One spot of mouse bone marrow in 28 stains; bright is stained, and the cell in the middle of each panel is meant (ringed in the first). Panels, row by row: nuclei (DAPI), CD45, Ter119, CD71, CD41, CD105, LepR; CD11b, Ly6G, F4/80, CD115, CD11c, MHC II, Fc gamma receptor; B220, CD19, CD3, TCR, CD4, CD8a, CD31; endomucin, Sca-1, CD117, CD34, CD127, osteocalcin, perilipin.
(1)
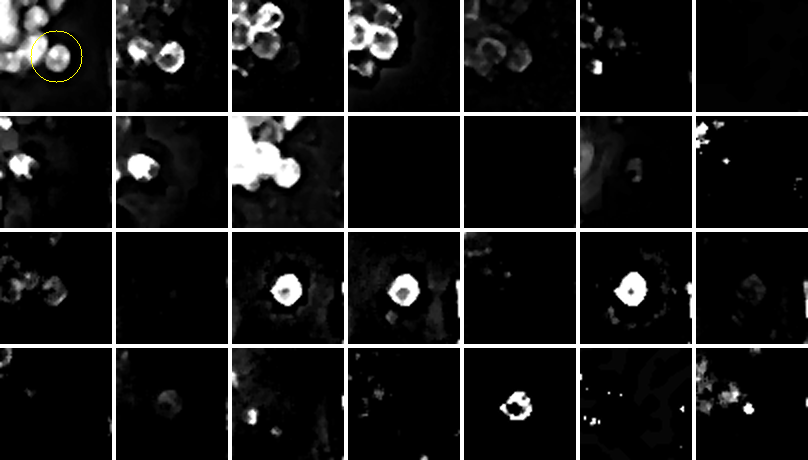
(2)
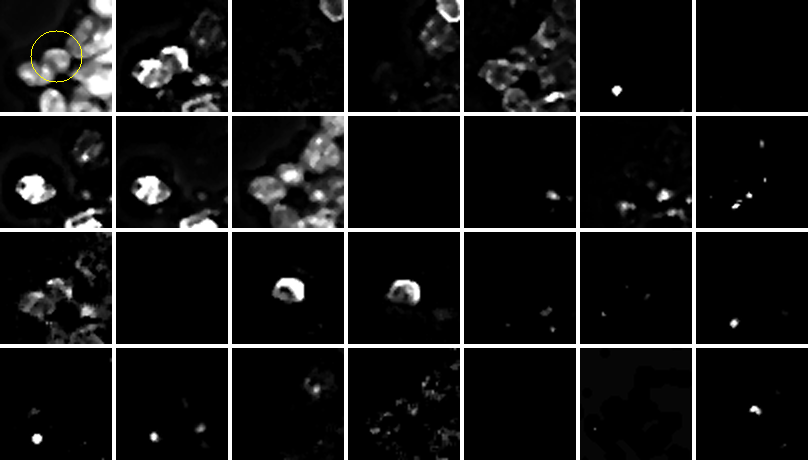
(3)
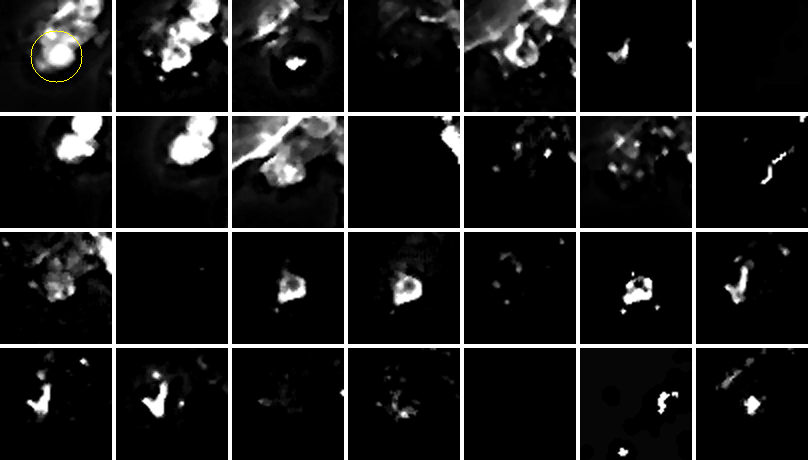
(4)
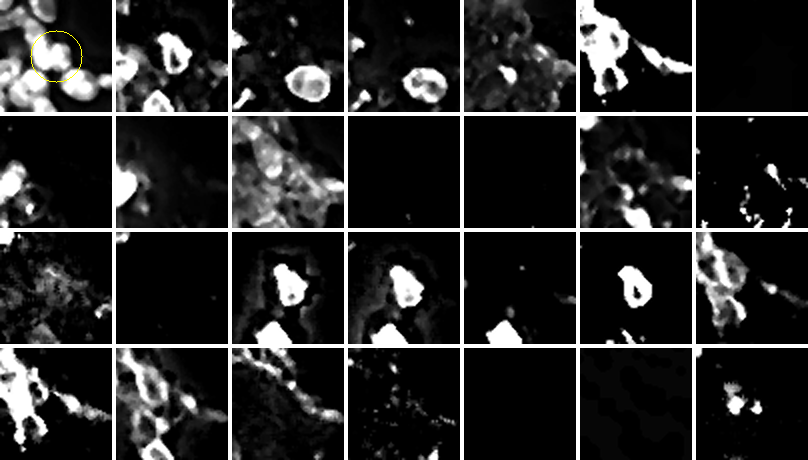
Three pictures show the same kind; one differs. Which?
Picture 2: a double-negative T cell, while the others are CD8 T cells.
